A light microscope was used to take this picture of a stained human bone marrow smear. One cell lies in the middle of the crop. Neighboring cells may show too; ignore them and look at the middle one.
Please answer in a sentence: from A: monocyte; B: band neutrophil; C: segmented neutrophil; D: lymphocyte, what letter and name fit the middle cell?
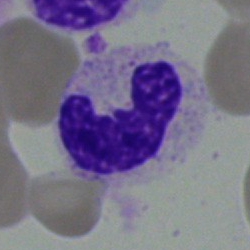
Given that the cell in the middle is a band neutrophil, option B is correct.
